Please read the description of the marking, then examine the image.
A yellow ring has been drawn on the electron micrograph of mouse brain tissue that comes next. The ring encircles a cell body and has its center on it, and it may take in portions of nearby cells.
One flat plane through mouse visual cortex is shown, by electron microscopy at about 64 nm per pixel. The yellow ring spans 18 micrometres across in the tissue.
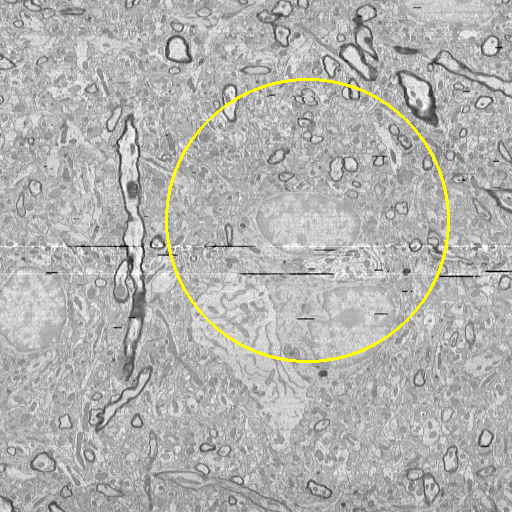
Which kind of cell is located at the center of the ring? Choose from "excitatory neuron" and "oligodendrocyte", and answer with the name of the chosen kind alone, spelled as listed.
oligodendrocyte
